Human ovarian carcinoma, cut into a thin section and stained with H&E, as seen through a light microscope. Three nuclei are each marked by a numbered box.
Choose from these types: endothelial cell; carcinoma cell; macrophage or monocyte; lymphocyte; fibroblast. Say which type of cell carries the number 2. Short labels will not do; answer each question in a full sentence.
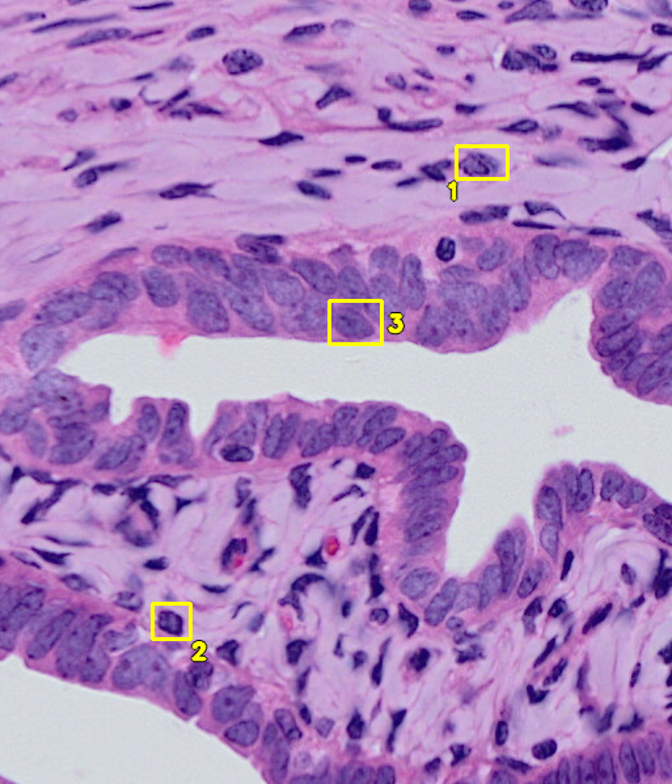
Looking at the numbered marks, cell 2 is a lymphocyte.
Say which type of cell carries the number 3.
What the number 3 marks in this field is a carcinoma cell.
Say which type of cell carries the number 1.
In this section, number 1 marks an endothelial cell.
